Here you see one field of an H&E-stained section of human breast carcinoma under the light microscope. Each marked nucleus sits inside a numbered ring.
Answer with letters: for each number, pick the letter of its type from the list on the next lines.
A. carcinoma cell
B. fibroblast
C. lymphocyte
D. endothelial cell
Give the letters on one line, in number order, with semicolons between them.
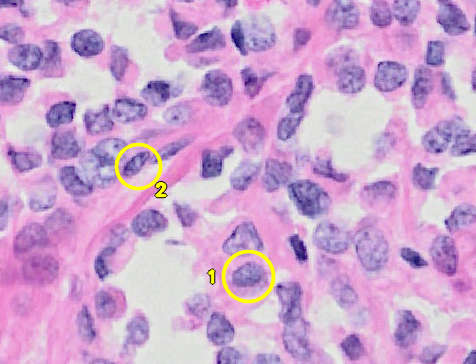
A; D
